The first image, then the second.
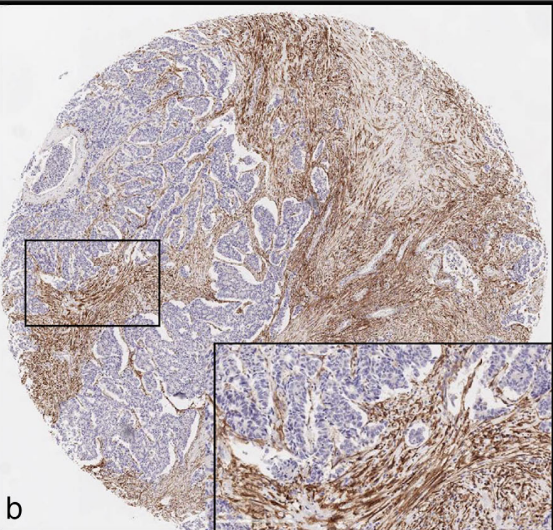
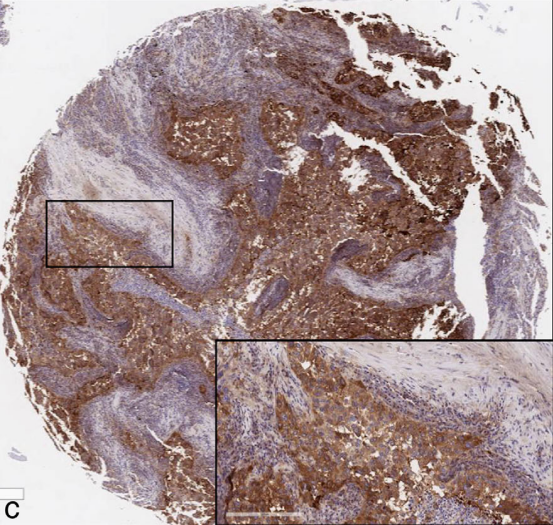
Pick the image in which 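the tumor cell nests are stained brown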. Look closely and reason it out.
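Second image: the solid epithelial nests are deep brown while the stroma is pale. First image: the epithelial nests are blue and the brown stain lies in the stroma. So: the second image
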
